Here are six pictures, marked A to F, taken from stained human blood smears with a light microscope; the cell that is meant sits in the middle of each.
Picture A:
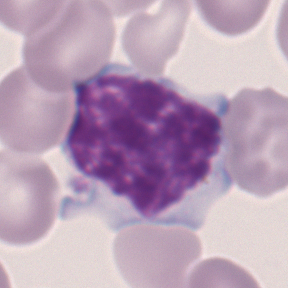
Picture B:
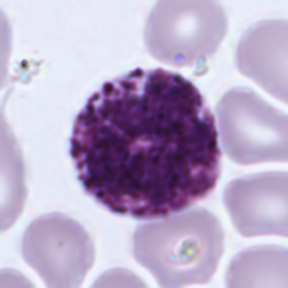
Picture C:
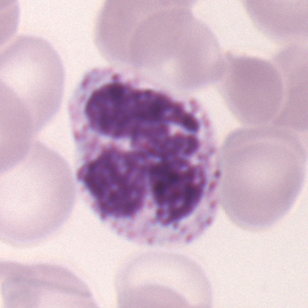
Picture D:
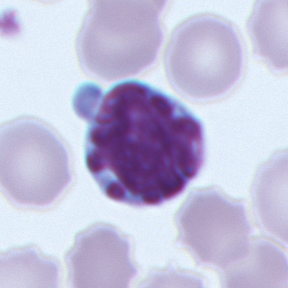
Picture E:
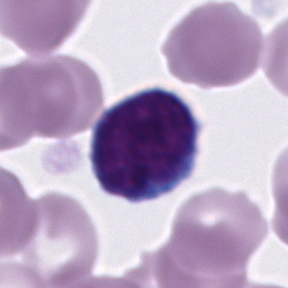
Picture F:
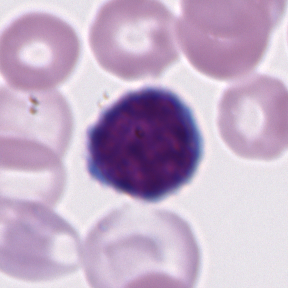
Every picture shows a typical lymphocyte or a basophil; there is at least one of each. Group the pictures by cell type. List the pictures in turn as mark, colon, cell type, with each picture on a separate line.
A: typical lymphocyte
B: basophil
C: basophil
D: typical lymphocyte
E: typical lymphocyte
F: typical lymphocyte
